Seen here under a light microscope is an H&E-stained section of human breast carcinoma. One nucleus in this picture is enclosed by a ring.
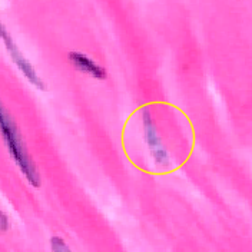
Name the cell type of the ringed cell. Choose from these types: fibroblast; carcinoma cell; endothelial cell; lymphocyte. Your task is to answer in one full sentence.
By its classification, the ringed cell is a fibroblast.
